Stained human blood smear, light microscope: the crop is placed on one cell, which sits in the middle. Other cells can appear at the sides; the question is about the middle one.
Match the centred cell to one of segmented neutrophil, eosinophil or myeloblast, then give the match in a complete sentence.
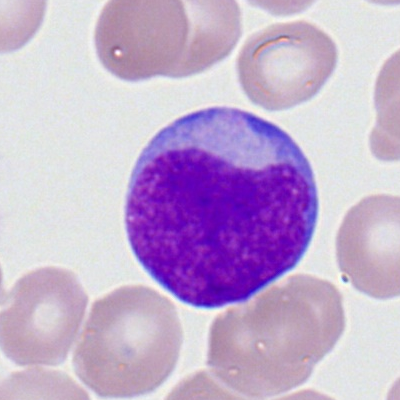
In short, the cell at the center is a myeloblast.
